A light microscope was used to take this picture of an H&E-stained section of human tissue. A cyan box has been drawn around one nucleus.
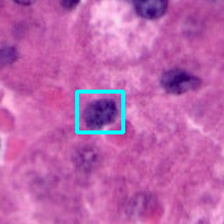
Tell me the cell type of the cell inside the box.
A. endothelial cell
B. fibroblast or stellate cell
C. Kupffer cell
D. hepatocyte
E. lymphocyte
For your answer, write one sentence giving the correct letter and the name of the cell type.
The correct option, B, describes the cell inside the box as a fibroblast or stellate cell.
